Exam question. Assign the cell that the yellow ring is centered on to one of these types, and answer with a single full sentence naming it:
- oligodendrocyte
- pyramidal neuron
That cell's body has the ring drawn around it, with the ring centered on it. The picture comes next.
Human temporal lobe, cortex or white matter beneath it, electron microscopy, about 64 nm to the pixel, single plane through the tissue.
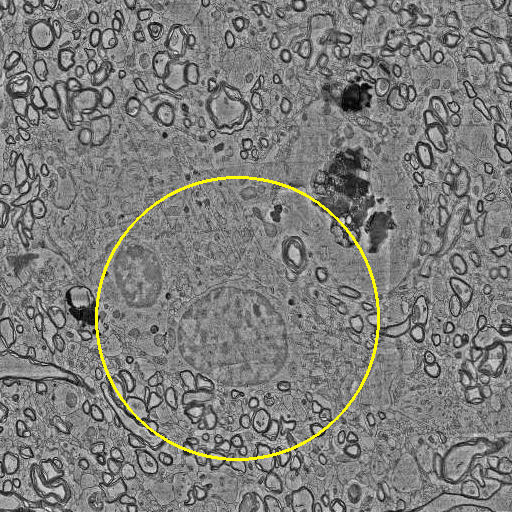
In the micrograph, the cell the yellow ring is centered on is an oligodendrocyte.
